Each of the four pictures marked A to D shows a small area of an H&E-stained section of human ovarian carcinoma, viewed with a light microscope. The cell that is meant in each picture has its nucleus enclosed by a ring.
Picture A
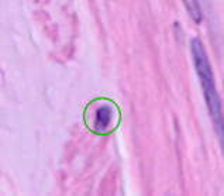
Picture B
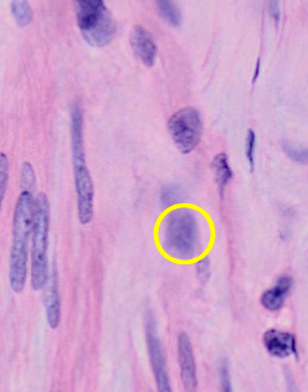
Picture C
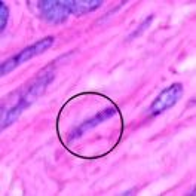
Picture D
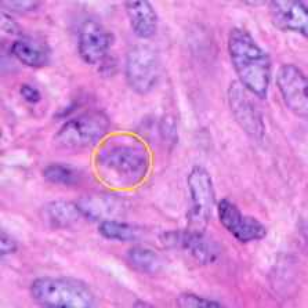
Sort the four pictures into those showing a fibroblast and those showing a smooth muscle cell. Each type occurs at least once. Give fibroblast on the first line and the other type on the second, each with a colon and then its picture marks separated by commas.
fibroblast: B, C, D
smooth muscle cell: A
